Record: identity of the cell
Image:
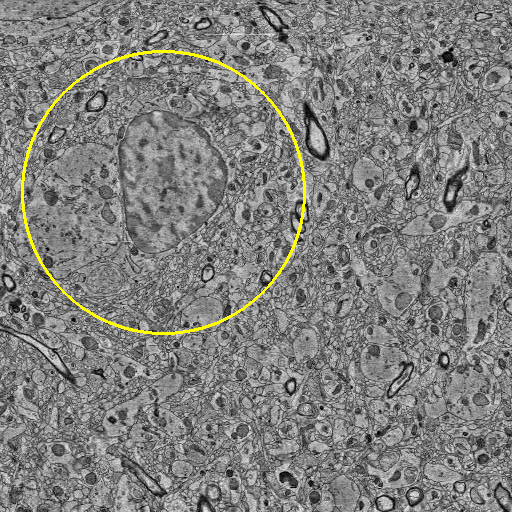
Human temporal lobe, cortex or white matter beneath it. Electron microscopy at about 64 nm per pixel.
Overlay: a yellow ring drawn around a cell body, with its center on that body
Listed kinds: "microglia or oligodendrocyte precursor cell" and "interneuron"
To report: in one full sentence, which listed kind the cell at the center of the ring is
In the image, the cell body at the ring's center belongs to a microglial cell or oligodendrocyte precursor cell.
